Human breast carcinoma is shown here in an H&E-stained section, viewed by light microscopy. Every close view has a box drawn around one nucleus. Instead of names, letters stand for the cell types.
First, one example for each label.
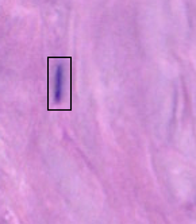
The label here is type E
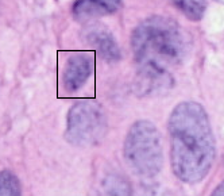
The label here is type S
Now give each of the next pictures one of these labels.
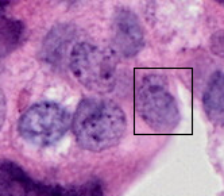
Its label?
type S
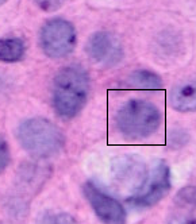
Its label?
type S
